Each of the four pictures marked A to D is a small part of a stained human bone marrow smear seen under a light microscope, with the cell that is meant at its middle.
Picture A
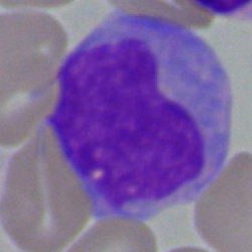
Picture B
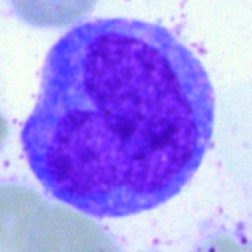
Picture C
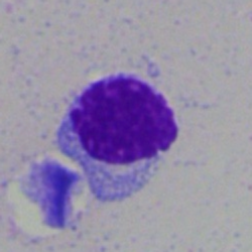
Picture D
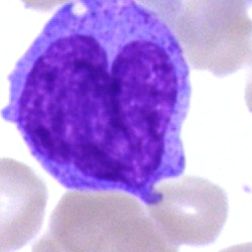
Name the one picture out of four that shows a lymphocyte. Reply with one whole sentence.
It is picture C that shows the lymphocyte.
